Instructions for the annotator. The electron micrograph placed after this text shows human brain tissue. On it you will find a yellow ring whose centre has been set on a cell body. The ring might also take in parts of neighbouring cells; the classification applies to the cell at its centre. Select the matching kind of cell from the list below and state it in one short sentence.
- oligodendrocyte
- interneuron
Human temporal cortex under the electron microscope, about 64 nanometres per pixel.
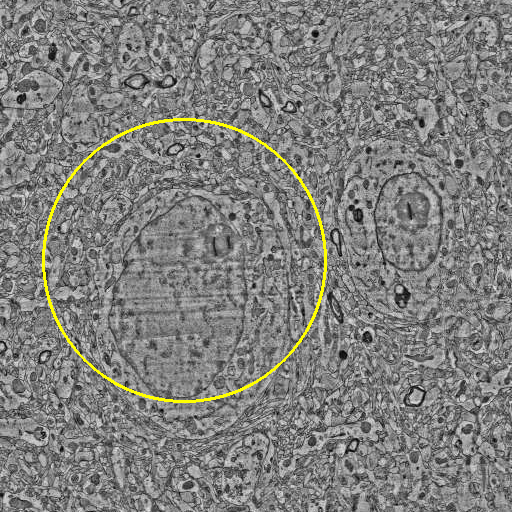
The ring is drawn on the cell body of an interneuron.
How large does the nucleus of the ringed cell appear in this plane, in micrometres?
In this plane, roughly 13 by 9 micrometres.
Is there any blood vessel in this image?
No, none shows.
